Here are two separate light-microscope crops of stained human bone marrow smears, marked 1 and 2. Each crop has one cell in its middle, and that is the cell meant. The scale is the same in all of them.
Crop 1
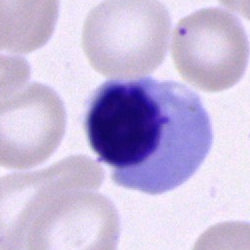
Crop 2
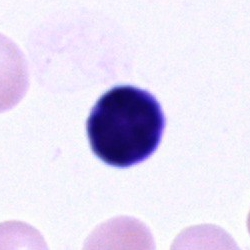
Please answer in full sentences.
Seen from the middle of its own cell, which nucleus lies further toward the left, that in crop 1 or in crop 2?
The nucleus in crop 1 lies further toward the left of its cell.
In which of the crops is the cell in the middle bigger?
It is the cell in crop 1, about 2 times as large in area as the cell in crop 2.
